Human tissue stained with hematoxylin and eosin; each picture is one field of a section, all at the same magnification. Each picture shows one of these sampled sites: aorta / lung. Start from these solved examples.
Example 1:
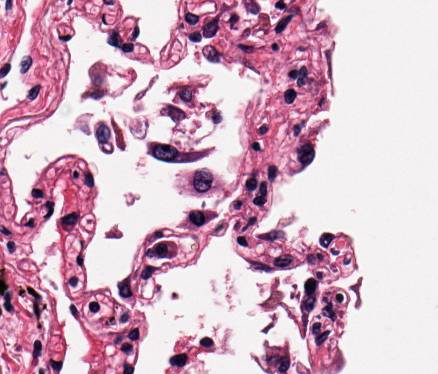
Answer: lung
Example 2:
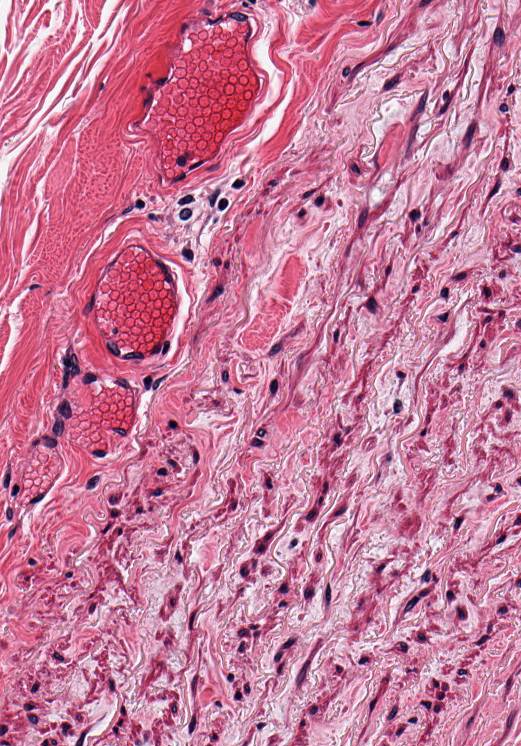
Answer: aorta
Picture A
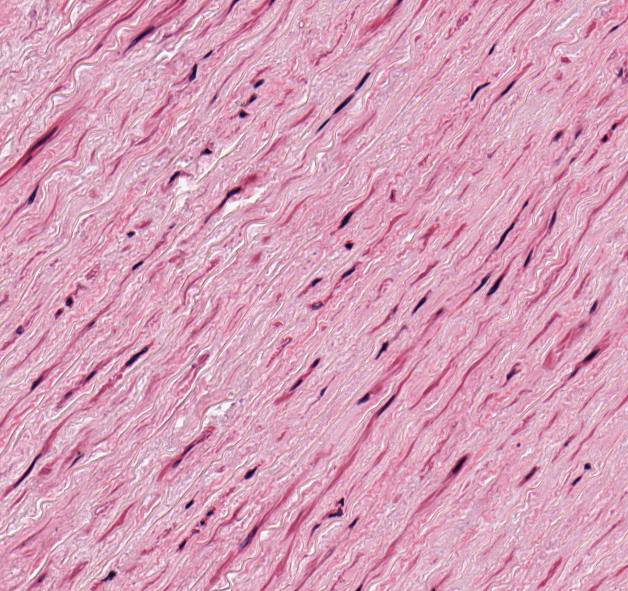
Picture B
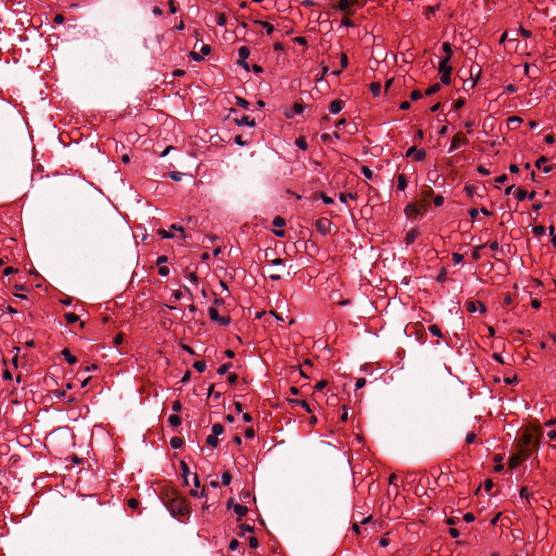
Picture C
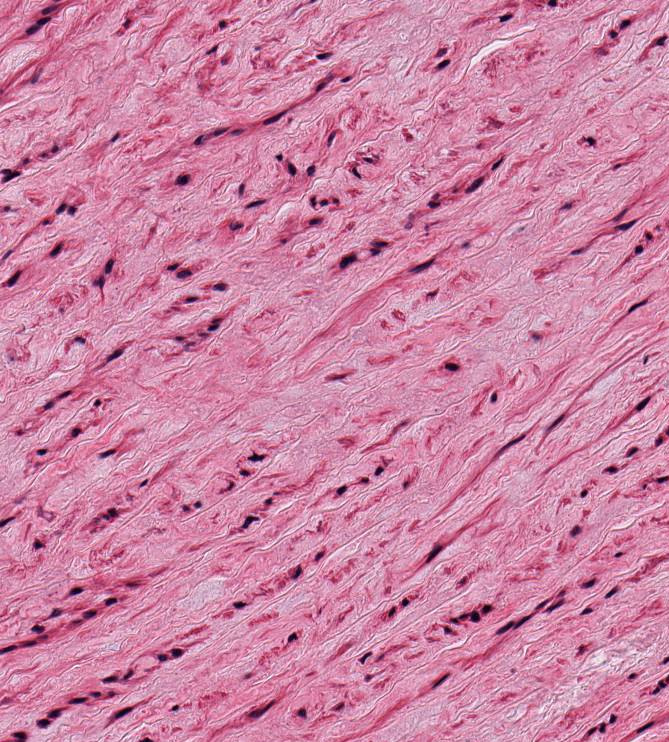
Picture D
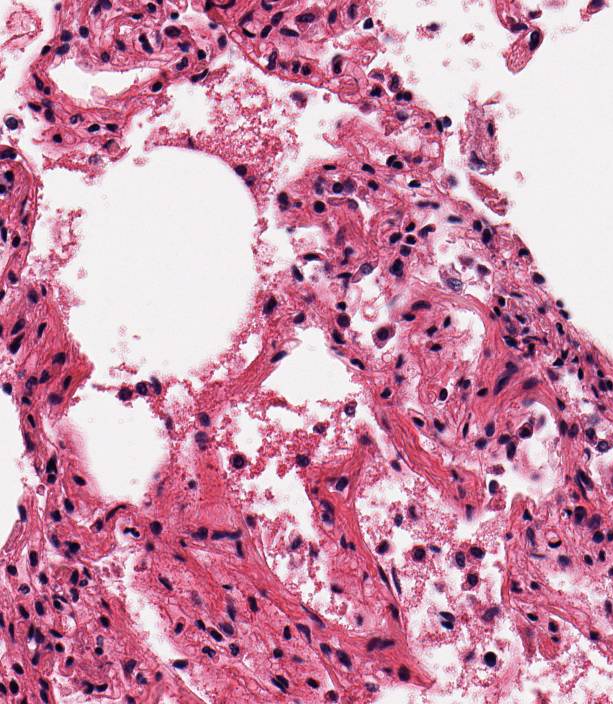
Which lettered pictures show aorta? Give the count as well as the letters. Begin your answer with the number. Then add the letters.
Count: 2 (A, C)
